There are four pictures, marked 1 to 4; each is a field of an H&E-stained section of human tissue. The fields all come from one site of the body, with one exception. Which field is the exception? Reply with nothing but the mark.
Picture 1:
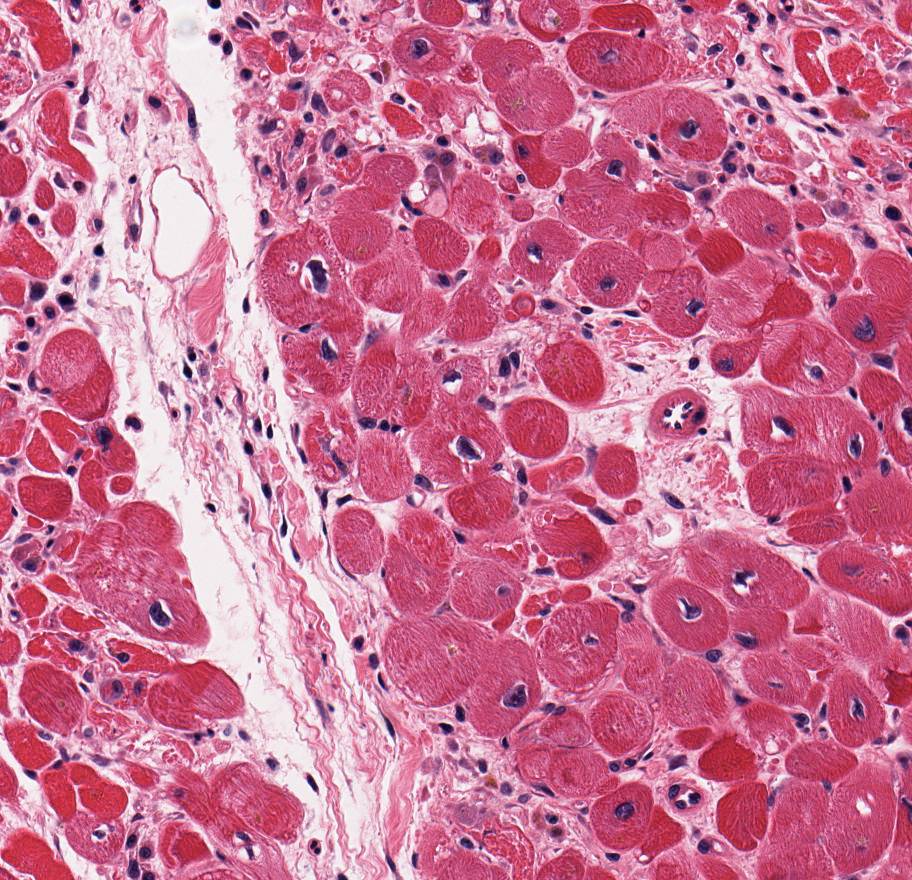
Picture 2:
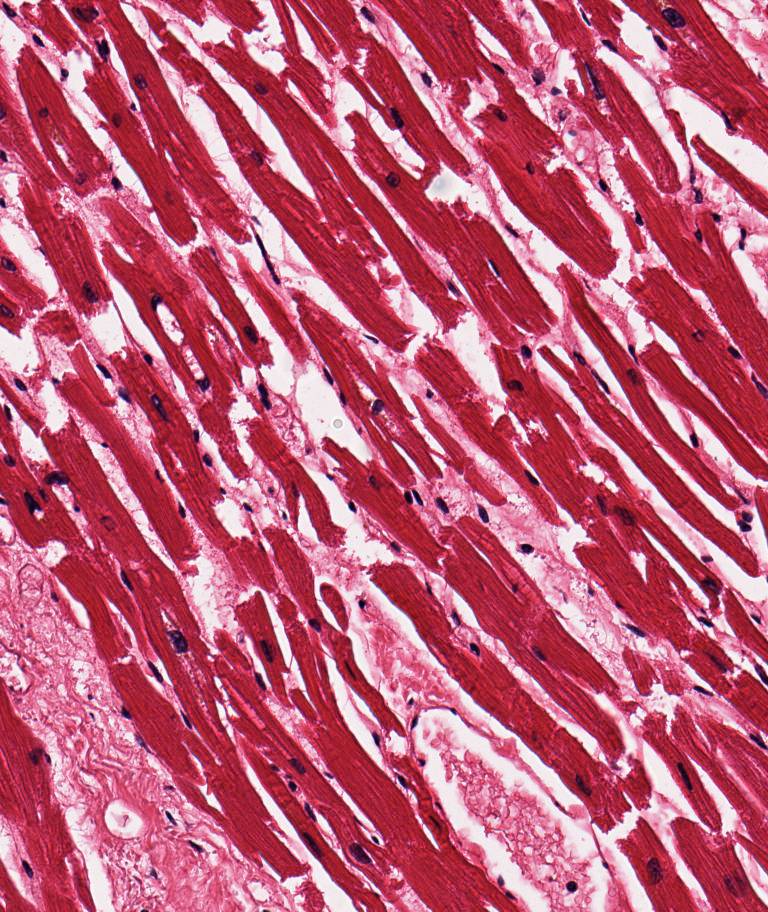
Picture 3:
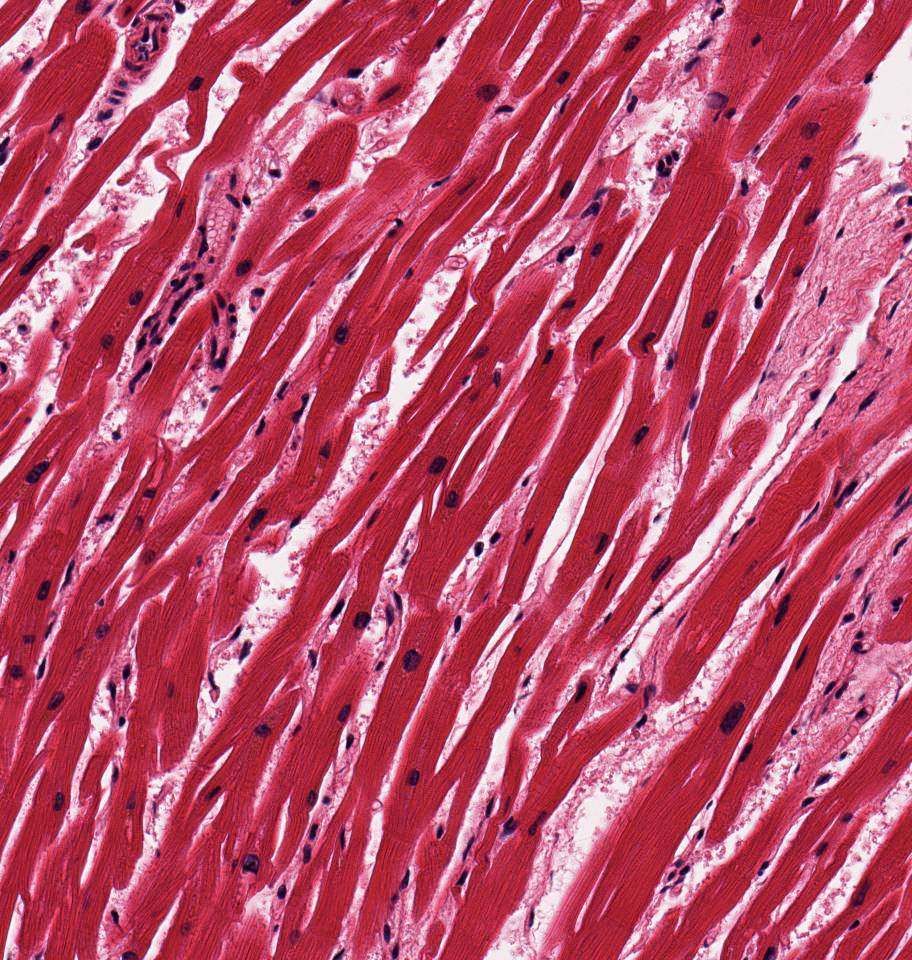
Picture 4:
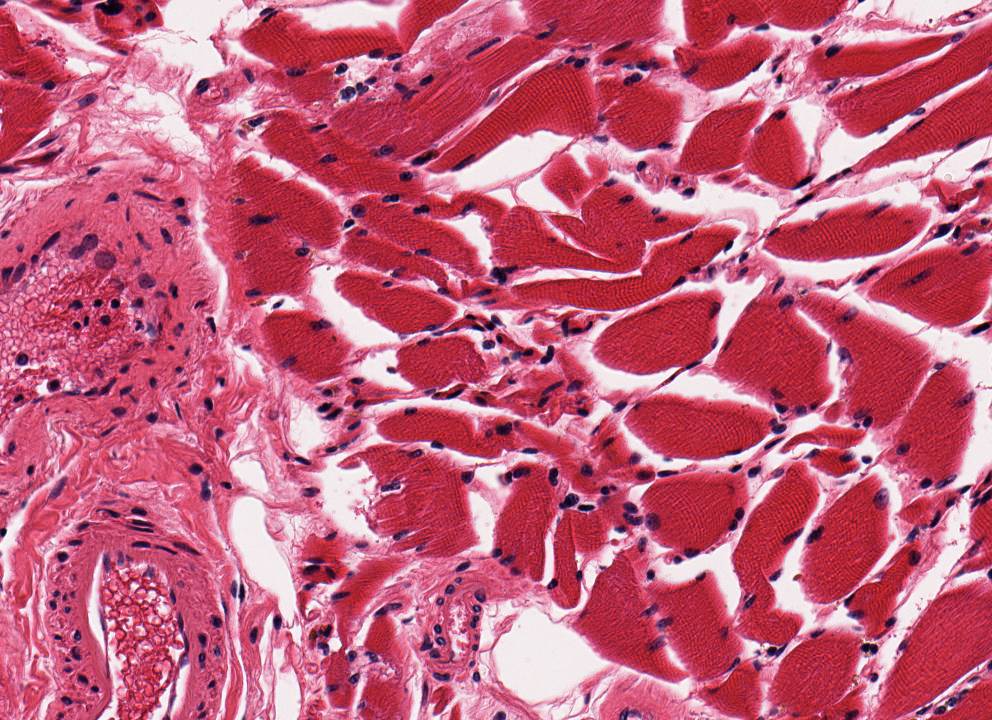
4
